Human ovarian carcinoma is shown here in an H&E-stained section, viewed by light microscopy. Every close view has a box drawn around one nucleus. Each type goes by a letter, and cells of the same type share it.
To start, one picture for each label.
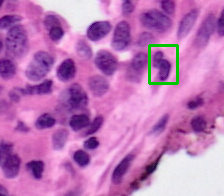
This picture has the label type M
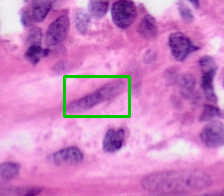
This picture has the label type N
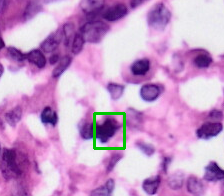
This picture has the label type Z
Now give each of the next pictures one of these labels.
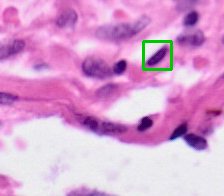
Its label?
type N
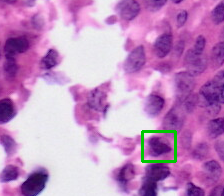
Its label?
type Z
